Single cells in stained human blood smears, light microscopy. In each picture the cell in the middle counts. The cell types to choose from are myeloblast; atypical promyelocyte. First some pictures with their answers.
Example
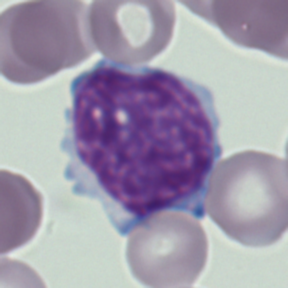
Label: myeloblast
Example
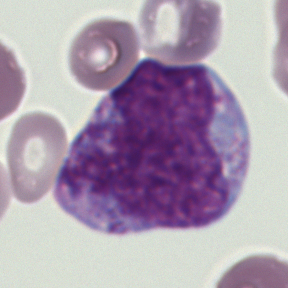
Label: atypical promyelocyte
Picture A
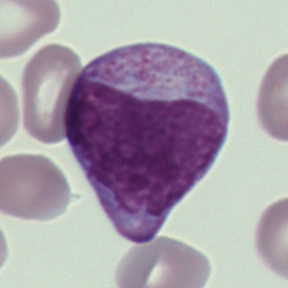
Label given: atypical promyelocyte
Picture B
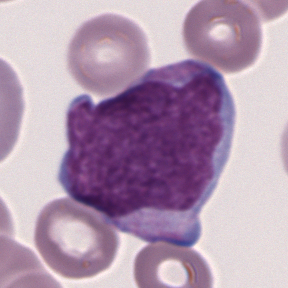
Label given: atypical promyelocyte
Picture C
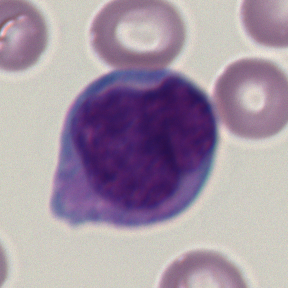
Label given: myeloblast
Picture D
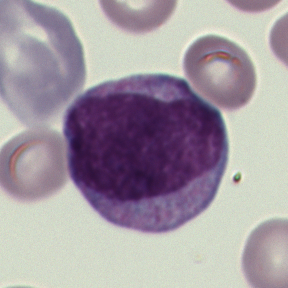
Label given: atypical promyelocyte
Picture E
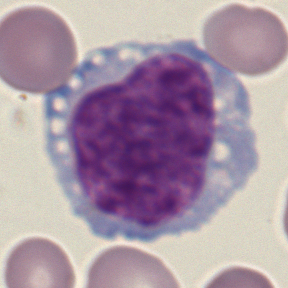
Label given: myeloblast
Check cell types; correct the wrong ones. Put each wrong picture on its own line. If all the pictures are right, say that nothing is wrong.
C: atypical promyelocyte, not myeloblast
